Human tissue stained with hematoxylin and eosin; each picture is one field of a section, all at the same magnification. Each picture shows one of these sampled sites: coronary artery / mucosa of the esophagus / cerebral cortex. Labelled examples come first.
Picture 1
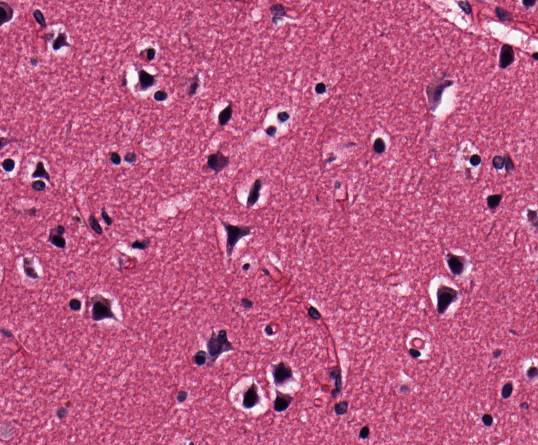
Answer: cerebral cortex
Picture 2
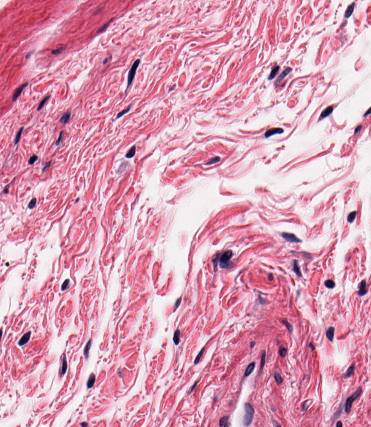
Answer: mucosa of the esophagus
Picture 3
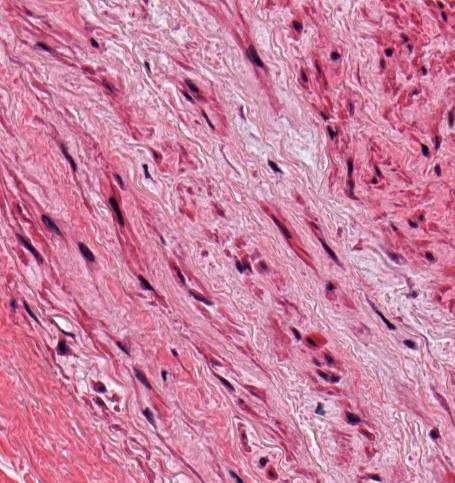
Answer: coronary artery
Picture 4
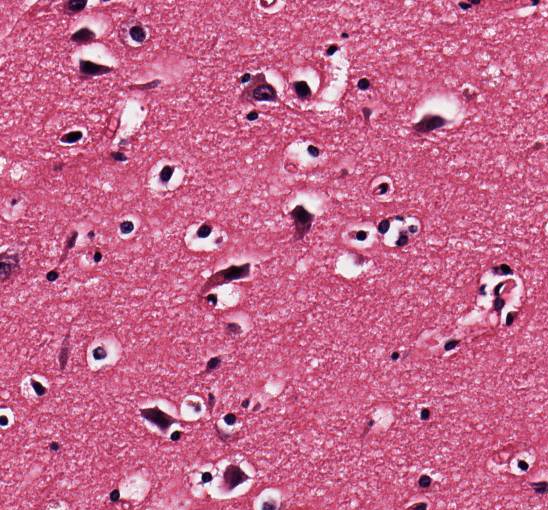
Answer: cerebral cortex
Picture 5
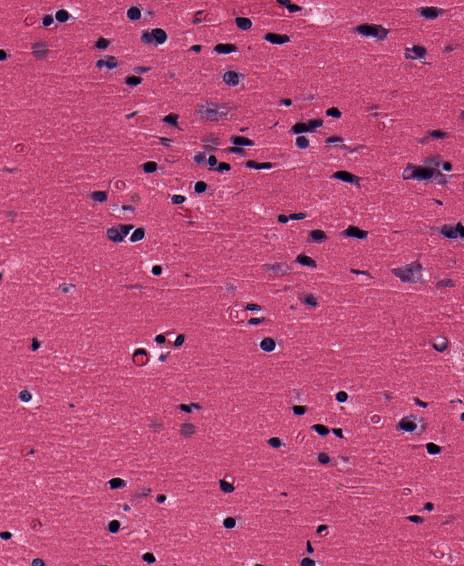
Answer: cerebral cortex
